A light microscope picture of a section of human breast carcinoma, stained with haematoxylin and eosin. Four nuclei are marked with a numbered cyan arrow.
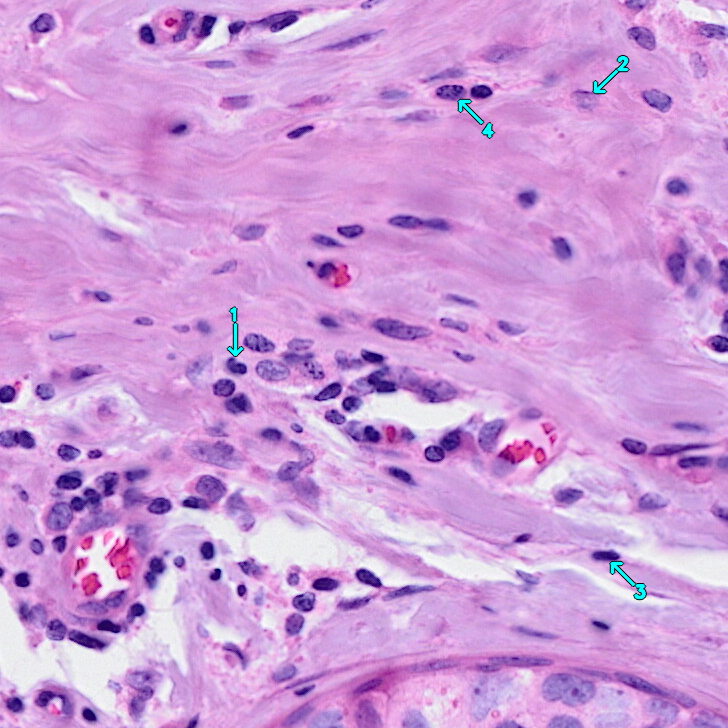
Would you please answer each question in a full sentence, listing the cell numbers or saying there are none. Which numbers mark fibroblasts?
The cell labelled 2 is a fibroblast, while the remaining numbered cells are not.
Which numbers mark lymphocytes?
In terms of cell type, cells 1 and 3 are lymphocytes.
